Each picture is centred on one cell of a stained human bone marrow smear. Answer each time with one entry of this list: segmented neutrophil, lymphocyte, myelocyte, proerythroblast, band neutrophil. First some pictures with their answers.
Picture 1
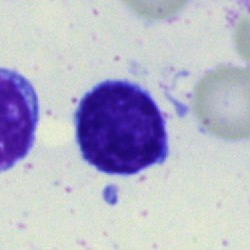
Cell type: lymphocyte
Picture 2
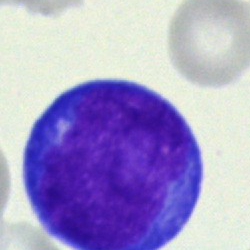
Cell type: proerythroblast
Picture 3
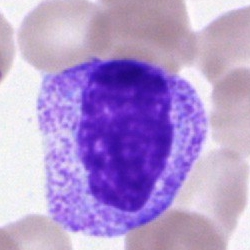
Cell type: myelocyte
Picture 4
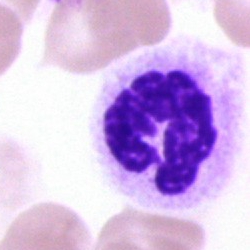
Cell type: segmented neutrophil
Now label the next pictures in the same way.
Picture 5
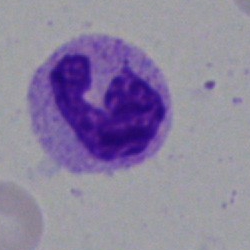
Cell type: segmented neutrophil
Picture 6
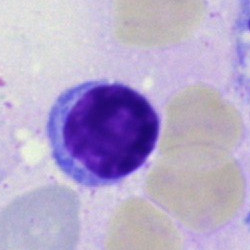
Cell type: lymphocyte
